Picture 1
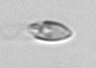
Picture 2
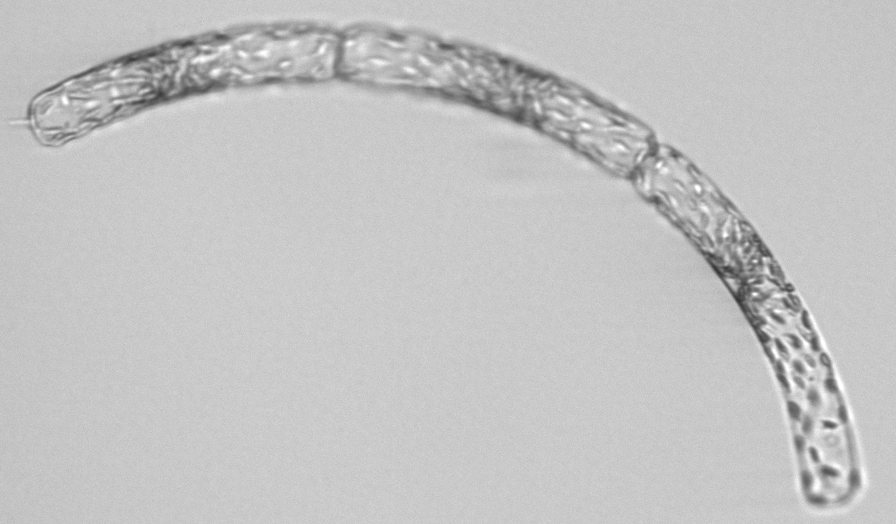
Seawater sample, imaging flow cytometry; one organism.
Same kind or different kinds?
Different: the first is Kapelodinium, the second Guinardia.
